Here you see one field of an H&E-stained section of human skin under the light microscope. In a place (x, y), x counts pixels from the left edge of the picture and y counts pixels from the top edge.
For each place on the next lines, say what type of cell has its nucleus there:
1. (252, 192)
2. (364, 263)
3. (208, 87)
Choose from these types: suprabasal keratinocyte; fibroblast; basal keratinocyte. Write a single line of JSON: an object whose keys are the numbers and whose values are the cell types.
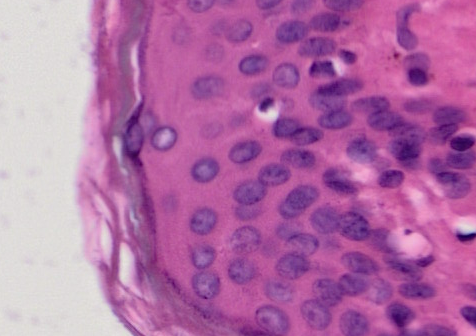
{"1": "suprabasal keratinocyte", "2": "basal keratinocyte", "3": "suprabasal keratinocyte"}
